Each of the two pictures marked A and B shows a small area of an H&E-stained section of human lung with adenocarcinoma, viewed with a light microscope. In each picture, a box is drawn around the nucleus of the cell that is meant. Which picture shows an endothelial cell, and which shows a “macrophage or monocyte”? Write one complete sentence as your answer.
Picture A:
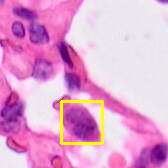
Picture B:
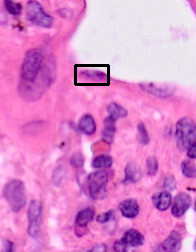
Picture B shows an endothelial cell, while picture A shows a “macrophage or monocyte”.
